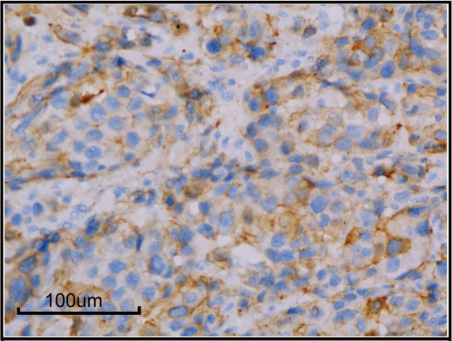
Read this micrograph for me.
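This is a section of tumour tissue made up of closely packed tumour cells lying in sheets and irregular nests separated by thin, pale strands of stroma. A brown stain outlines the borders of many cells and fills the cytoplasm of some, so that groups of cells appear framed in brown. The stained cells are scattered through the field in patches rather than evenly.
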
